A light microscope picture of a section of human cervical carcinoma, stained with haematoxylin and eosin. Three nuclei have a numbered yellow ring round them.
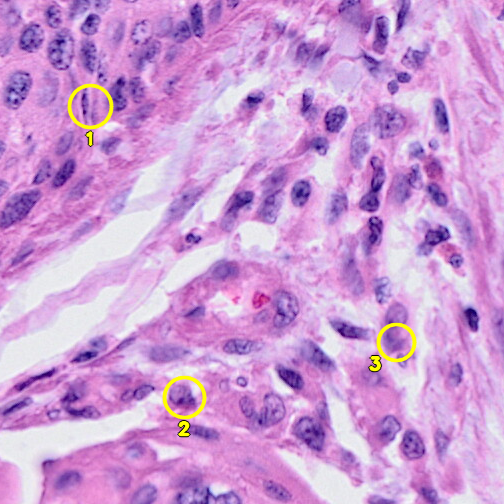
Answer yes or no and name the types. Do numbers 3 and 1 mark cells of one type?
No, in contrast to cell 3, which is a macrophage or monocyte, cell 1 is a squamous carcinoma cell.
